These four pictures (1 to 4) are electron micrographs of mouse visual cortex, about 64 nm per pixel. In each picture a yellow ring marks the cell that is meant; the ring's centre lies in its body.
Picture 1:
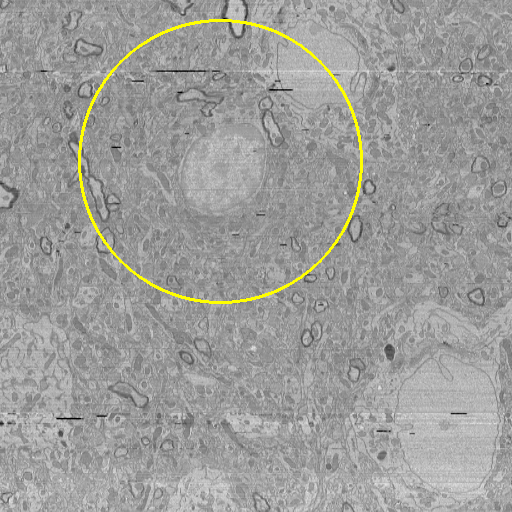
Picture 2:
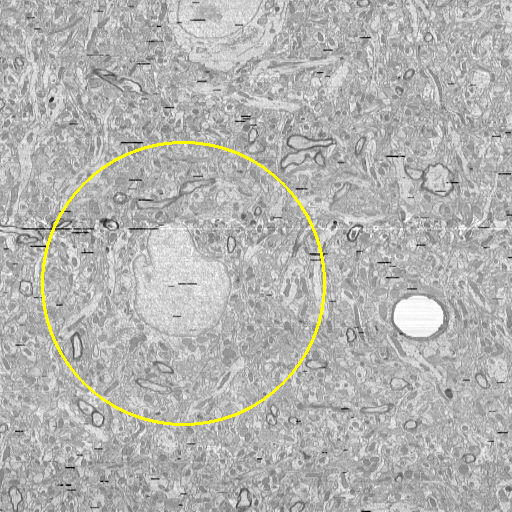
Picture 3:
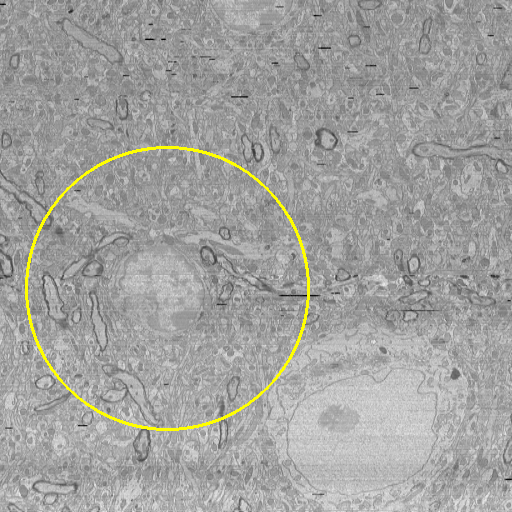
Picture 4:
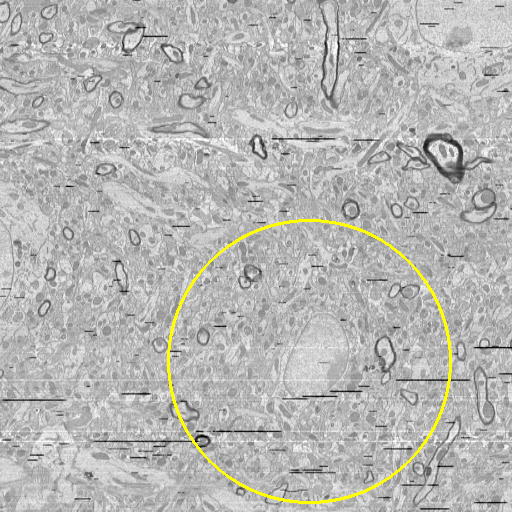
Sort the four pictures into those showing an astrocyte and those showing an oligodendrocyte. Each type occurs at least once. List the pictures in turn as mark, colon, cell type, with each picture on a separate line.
1: oligodendrocyte
2: astrocyte
3: oligodendrocyte
4: astrocyte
